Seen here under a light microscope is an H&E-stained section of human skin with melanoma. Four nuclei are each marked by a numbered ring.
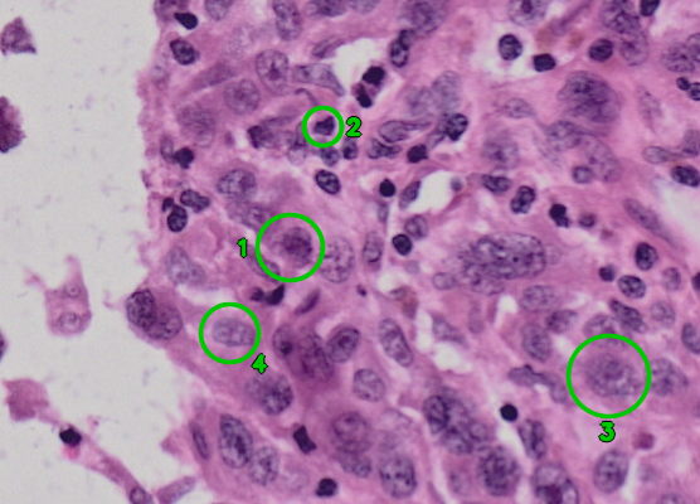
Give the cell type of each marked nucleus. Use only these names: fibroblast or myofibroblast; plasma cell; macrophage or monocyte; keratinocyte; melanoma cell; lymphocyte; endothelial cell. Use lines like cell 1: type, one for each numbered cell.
cell 1: melanoma cell
cell 2: lymphocyte
cell 3: melanoma cell
cell 4: melanoma cell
